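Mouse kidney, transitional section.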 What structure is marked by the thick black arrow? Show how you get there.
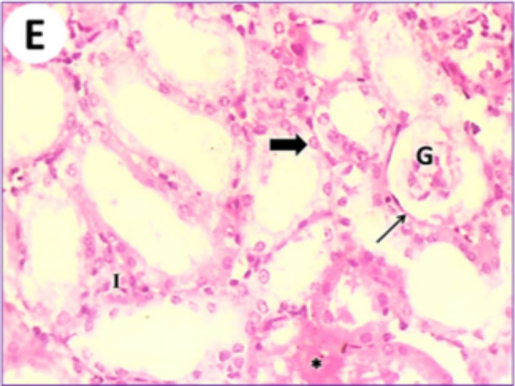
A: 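The arrow points at the cell lining of a tubule with wide pale lumen. The lining is a single row of cells with round nuclei.
Answer: renal tubular epithelium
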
